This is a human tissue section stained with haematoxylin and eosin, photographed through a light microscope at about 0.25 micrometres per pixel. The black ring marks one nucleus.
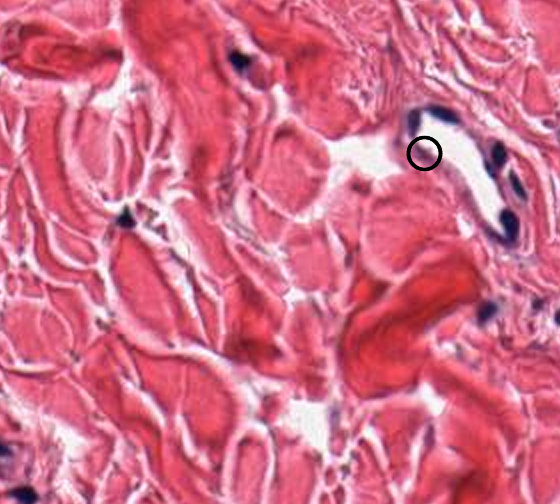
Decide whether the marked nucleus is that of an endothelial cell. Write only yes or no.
yes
